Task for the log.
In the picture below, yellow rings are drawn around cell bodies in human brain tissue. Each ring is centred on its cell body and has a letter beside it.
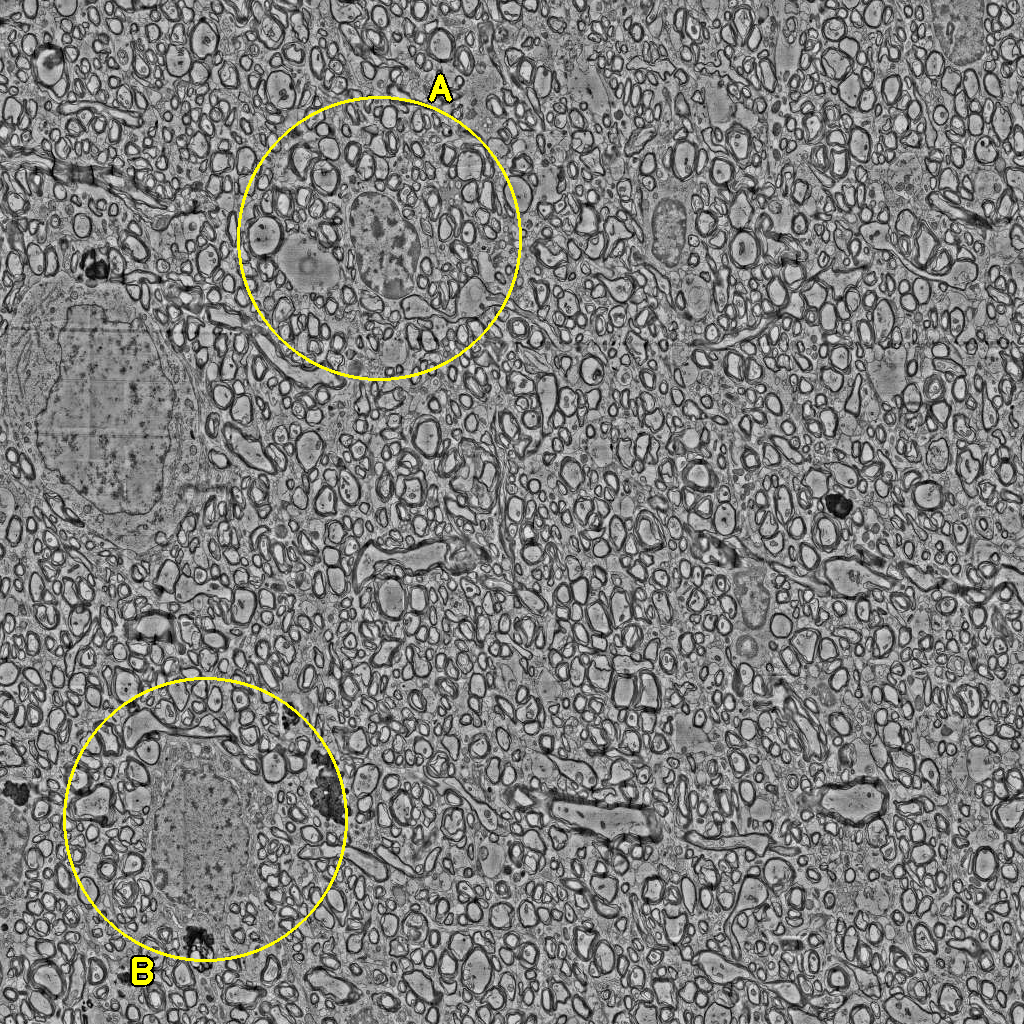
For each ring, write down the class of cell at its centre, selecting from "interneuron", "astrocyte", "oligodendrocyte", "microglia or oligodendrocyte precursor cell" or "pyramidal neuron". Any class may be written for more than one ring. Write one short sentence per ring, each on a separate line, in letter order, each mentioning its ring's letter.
The cell inside ring A, at its centre, is a microglial cell or oligodendrocyte precursor cell.
The cell inside ring B, at its centre, is an astrocyte.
